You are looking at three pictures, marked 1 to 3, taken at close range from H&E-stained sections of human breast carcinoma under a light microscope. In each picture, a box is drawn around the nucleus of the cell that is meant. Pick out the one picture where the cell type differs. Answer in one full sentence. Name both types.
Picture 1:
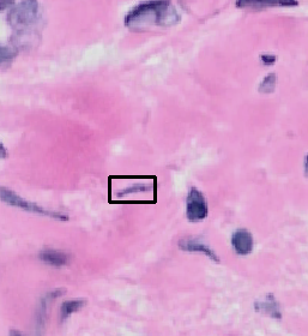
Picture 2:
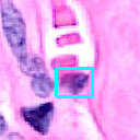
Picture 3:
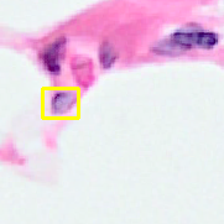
The others show endothelial cells, but picture 1 shows a fibroblast.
